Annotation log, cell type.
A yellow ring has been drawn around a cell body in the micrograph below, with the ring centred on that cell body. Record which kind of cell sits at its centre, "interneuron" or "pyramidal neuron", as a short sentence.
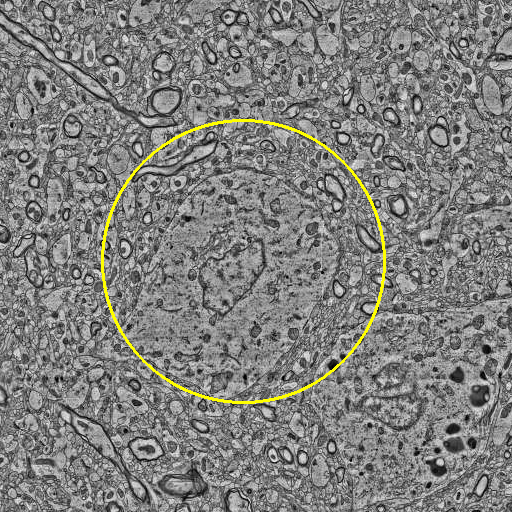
The cell at the centre of this ring is a pyramidal neuron.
